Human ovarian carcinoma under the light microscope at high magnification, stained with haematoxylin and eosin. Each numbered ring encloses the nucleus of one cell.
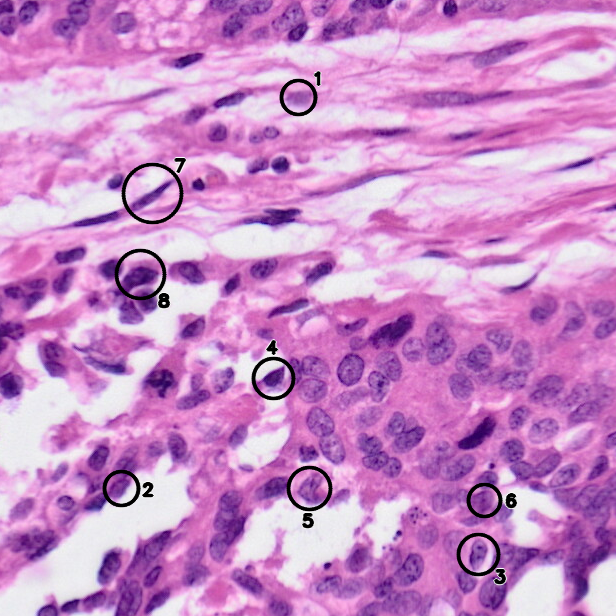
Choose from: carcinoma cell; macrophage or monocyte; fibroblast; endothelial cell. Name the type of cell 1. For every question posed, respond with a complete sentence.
The expected answer is that cell 1 is a fibroblast.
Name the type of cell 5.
The marked cell with the number 5 is recognised as a macrophage or monocyte.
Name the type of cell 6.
The correct answer for cell 6 is a carcinoma cell.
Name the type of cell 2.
The label 2 in this section denotes a carcinoma cell.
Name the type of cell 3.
That cell with number 3 is a macrophage or monocyte.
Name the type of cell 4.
The nucleus labeled 4 belongs to a carcinoma cell.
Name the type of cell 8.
In this section, number 8 marks a carcinoma cell.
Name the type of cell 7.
Cell 7 is classified as a fibroblast.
